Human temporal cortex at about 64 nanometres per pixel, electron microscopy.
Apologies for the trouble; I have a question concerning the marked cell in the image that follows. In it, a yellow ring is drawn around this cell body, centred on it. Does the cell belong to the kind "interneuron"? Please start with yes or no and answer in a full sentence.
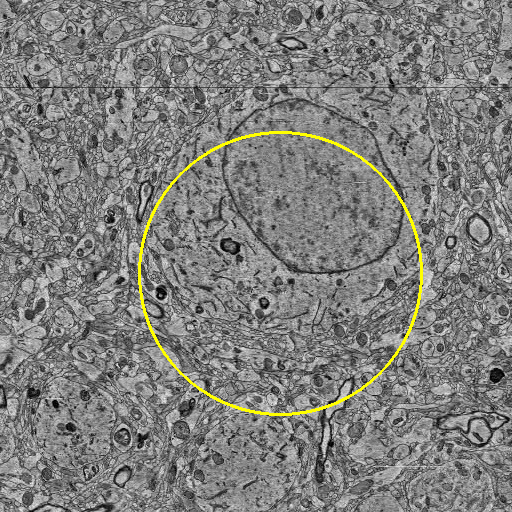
No, the ringed cell in the picture is of a different kind.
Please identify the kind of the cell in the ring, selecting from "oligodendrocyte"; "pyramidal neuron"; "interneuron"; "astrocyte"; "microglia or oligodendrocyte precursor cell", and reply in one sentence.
Instead, the ring in this picture marks a pyramidal neuron.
